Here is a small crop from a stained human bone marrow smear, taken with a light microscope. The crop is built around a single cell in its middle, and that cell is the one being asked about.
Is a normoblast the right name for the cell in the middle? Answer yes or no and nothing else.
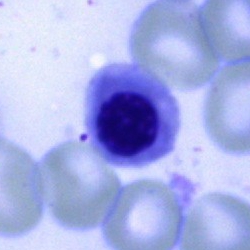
yes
